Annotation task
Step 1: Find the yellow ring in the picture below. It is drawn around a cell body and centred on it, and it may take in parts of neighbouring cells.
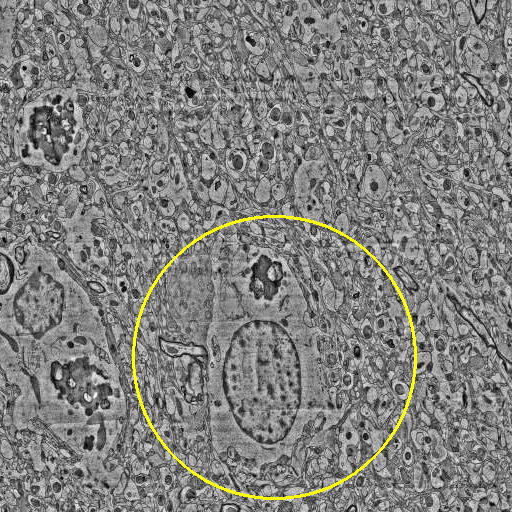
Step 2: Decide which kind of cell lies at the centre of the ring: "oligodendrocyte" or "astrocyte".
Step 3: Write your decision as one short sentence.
The kind of cell at the ring's centre is an astrocyte.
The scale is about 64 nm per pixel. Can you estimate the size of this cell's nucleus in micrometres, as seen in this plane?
Roughly 8 micrometres long and 5 micrometres wide; in this plane the nucleus is clearly longer than it is wide.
